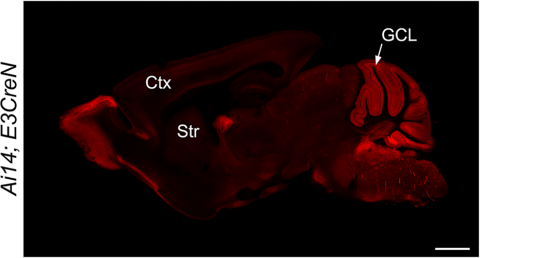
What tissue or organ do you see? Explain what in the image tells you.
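A sagittal slice of a whole organ with a folded hindmost part and a rounded front end. Layered, foliated structure at the back beside a large smooth dorsal region.
Hence: brain.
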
